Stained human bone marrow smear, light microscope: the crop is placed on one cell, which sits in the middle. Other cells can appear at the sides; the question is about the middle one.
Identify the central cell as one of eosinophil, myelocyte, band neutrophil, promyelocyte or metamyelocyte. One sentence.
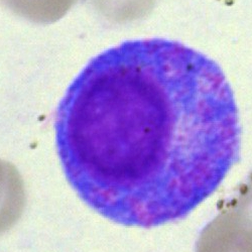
Of the cells in this crop, the central one is a promyelocyte.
